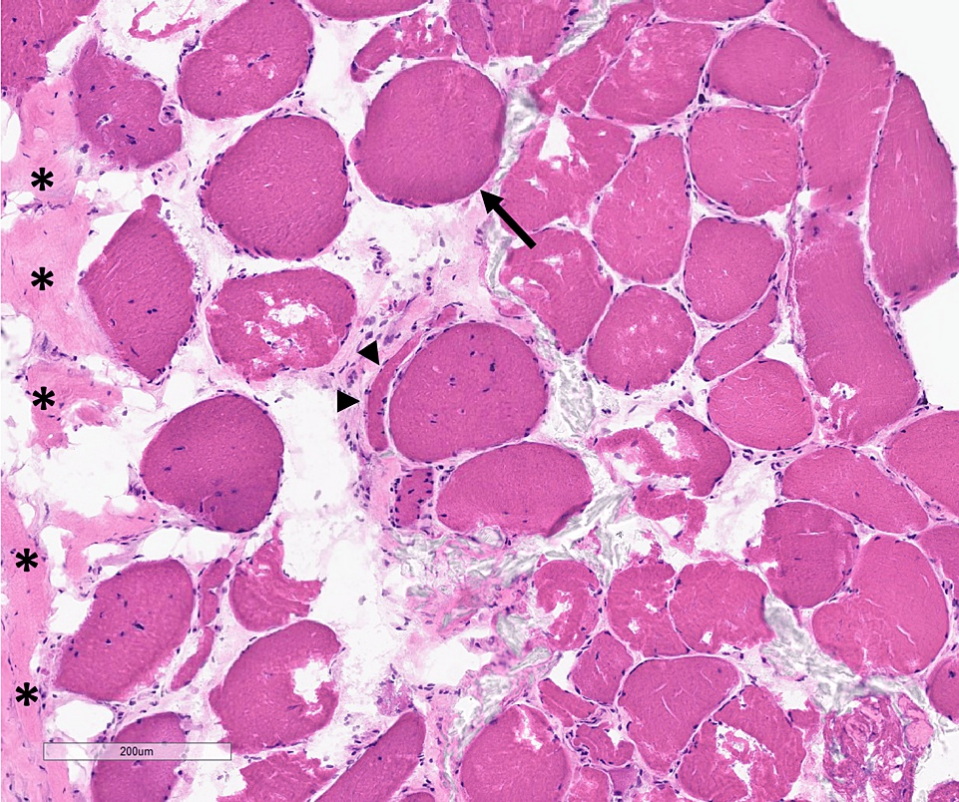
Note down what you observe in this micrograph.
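This is a cross-section of skeletal muscle. The deep pink, polygonal to rounded muscle fibers vary greatly in size, from small, narrow fibers to very large, rounded ones. Dark purple nuclei lie at the fiber edges and also within many fibers. The fibers are separated by pale, loose spaces. Along the left edge lies a paler pink, dense fibrous band with few nuclei.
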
